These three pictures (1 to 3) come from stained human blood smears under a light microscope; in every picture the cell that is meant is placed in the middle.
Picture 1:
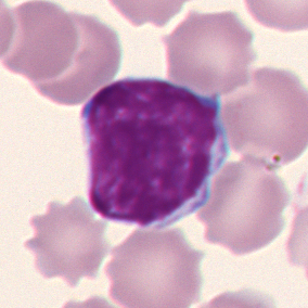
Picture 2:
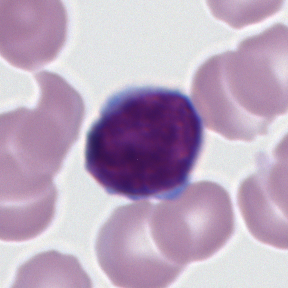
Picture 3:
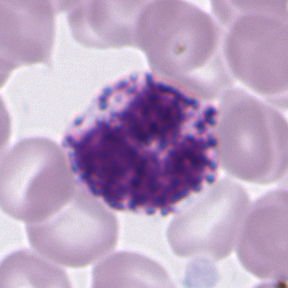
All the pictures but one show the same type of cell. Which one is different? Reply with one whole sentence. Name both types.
The others show typical lymphocytes, but picture 3 shows a basophil.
